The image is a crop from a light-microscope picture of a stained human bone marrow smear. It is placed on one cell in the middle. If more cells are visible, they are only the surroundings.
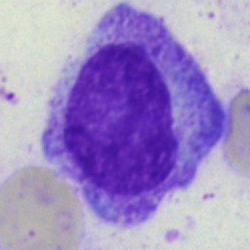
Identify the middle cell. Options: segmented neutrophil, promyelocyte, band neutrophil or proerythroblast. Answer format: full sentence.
Whatever else lies nearby, the middle cell is a promyelocyte.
